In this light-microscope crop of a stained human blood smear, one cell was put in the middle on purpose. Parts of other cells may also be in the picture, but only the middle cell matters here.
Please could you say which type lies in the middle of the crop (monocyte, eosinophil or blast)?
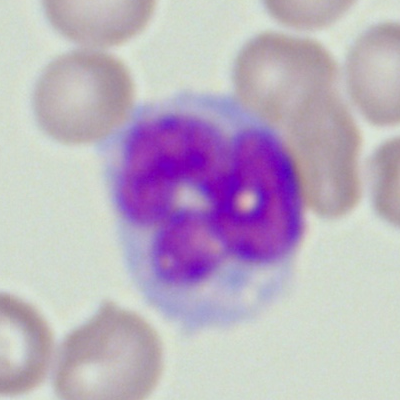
monocyte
